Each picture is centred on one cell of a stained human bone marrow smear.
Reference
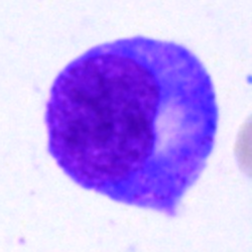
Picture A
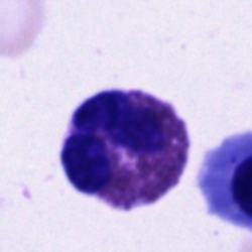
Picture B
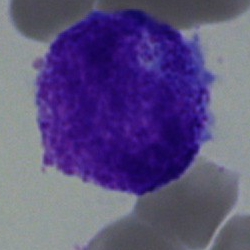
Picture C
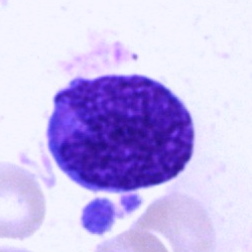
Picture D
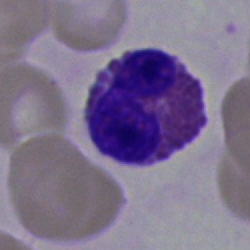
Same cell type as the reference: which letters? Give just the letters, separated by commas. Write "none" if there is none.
B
